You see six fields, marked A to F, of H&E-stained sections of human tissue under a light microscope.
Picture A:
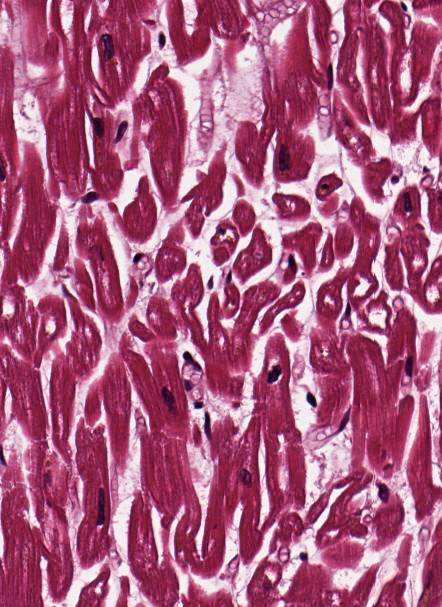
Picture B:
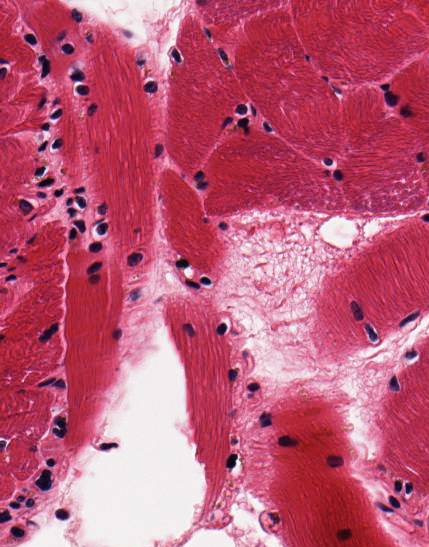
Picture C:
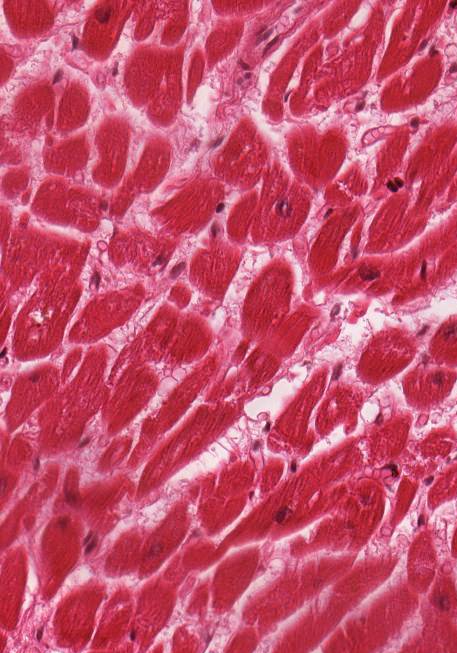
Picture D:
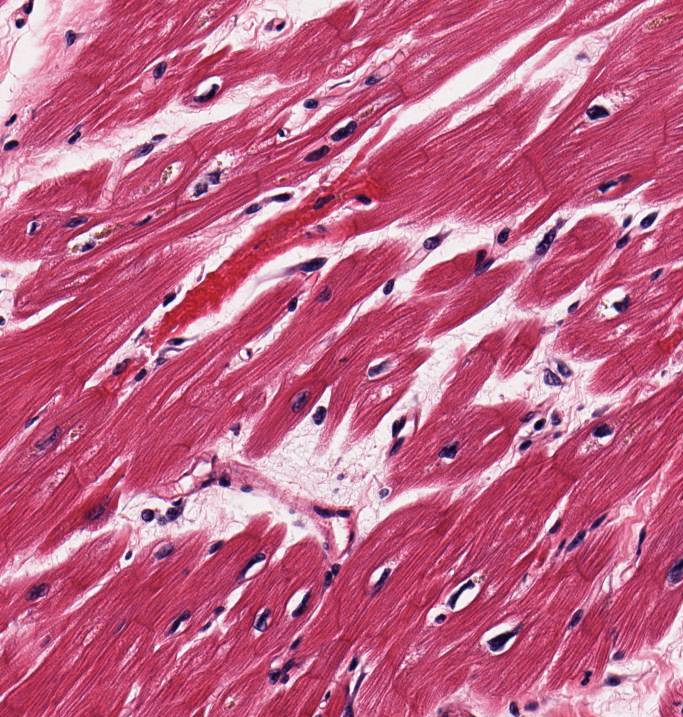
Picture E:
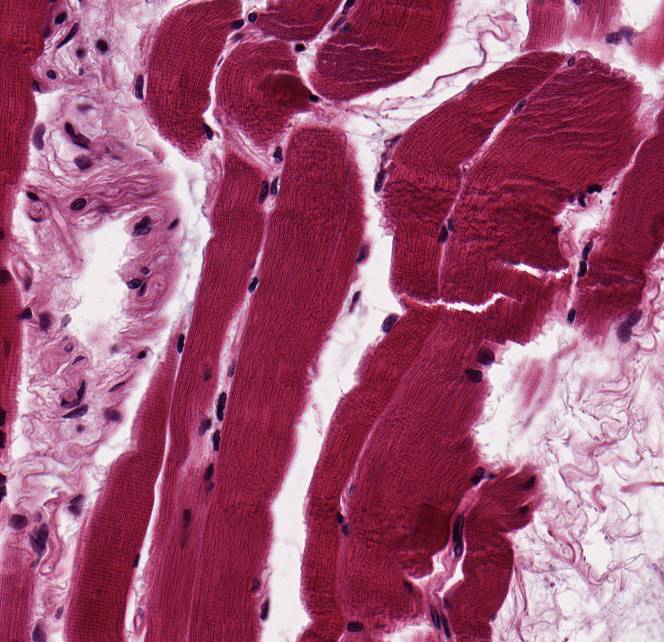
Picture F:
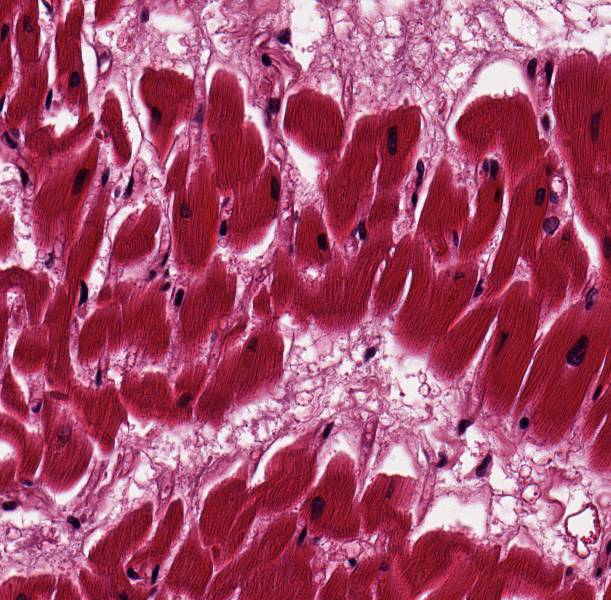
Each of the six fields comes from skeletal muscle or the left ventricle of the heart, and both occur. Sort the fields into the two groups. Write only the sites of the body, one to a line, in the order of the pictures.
left ventricle of the heart
skeletal muscle
left ventricle of the heart
left ventricle of the heart
skeletal muscle
left ventricle of the heart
